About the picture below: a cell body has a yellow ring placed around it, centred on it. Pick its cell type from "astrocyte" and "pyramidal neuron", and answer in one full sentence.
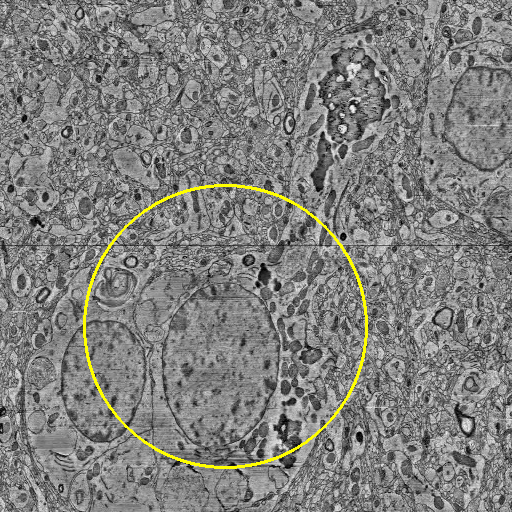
In the picture, an astrocyte is the cell sitting at the centre of the yellow ring.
